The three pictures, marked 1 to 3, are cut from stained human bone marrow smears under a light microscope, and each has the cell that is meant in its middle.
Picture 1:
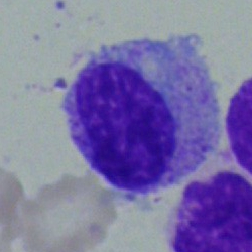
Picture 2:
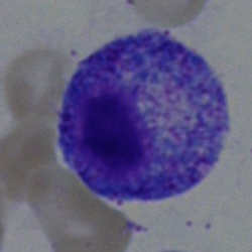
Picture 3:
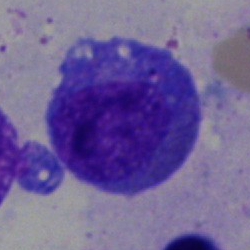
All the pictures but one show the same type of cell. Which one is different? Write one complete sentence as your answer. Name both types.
Unlike the rest, which show promyelocytes, picture 1 shows a myelocyte.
